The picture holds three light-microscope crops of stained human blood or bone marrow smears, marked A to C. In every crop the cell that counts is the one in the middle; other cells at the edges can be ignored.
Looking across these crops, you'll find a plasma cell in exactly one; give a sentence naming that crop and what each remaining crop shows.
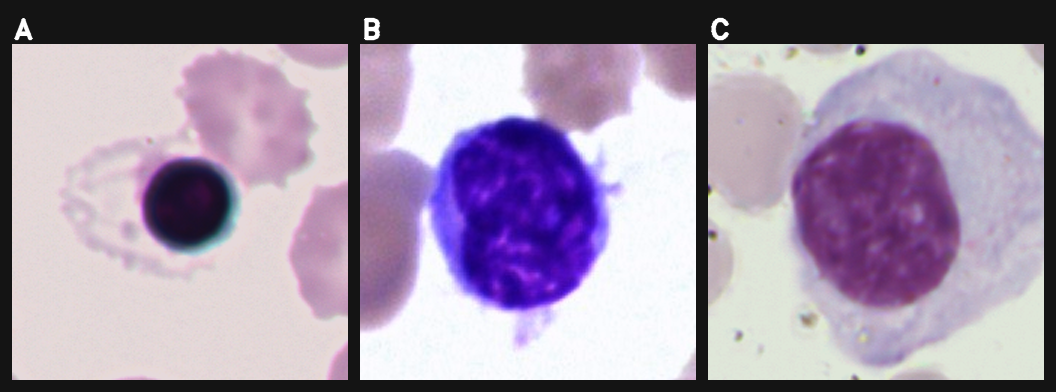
Whereas crop A is an erythroblast and crop B is a hairy cell, the cell at the centre of crop C is a plasma cell.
